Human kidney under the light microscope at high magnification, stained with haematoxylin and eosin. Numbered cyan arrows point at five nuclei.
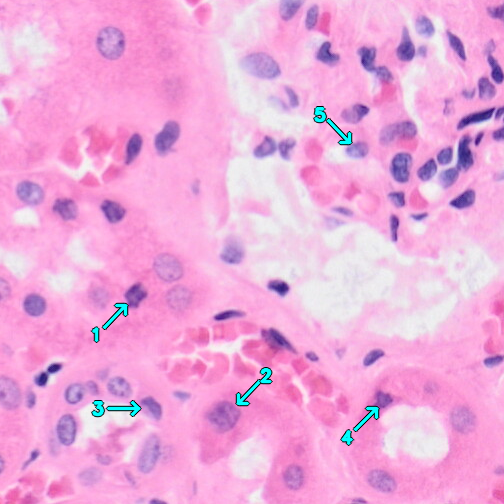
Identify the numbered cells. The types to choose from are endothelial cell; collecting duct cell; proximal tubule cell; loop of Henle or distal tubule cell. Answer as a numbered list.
1. proximal tubule cell
2. proximal tubule cell
3. collecting duct cell
4. proximal tubule cell
5. endothelial cell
